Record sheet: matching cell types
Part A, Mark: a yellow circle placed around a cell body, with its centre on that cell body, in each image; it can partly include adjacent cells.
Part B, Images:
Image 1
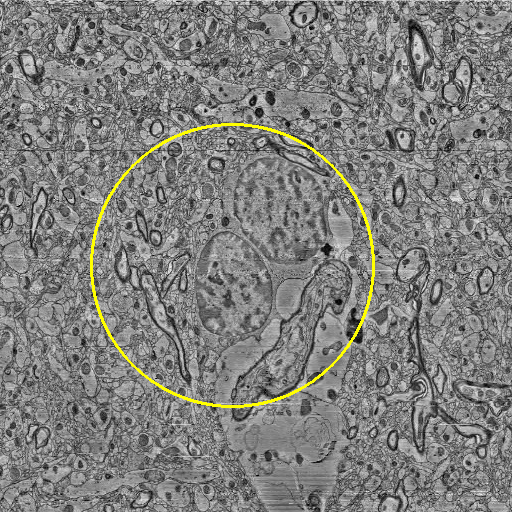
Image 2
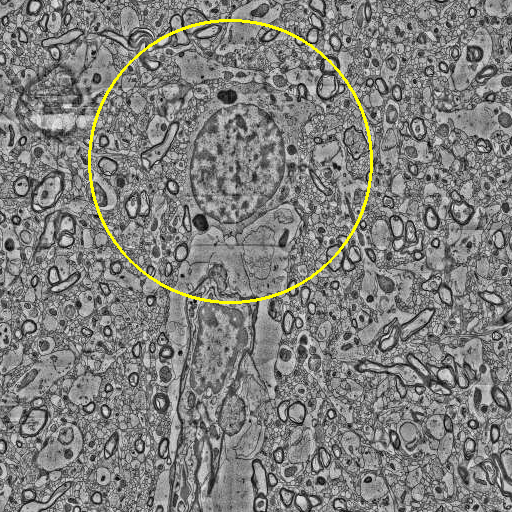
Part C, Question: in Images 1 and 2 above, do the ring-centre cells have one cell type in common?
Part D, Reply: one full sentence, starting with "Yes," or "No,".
Yes, the ring-centre cells of Image 1 and Image 2 are both of a single cell type.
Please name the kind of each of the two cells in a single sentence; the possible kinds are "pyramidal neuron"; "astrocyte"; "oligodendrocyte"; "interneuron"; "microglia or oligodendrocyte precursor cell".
Each of the ringed cells, first and second, is an oligodendrocyte.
